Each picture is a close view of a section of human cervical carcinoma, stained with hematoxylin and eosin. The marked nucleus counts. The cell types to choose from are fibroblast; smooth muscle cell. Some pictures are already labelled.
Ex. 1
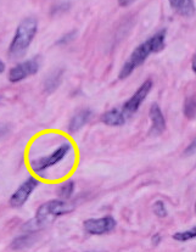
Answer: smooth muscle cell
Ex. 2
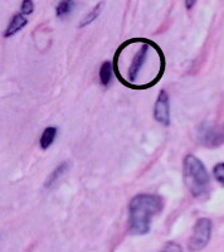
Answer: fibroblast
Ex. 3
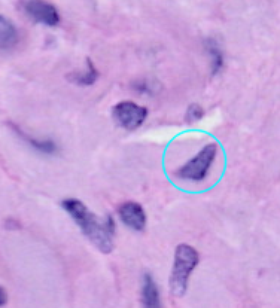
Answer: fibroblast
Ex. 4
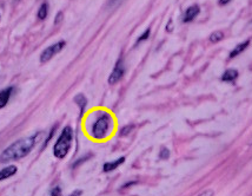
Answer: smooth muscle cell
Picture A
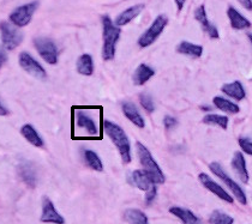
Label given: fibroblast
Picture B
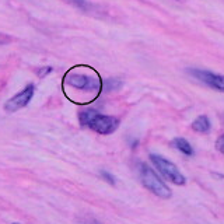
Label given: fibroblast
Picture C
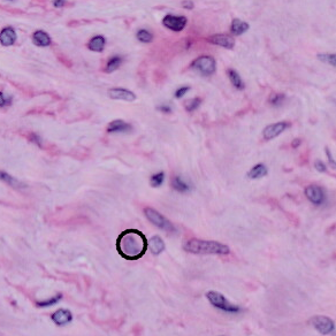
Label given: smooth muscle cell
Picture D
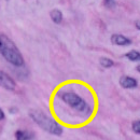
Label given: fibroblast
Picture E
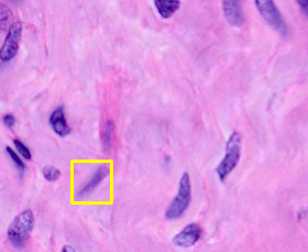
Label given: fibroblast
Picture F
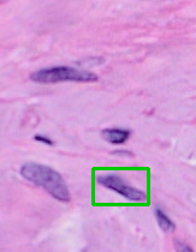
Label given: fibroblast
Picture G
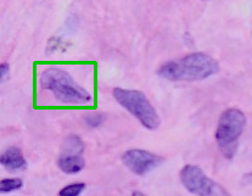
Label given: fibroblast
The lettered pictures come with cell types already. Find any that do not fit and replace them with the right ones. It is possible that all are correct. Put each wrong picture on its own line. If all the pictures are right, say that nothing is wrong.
B: not fibroblast but smooth muscle cell
D: not fibroblast but smooth muscle cell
